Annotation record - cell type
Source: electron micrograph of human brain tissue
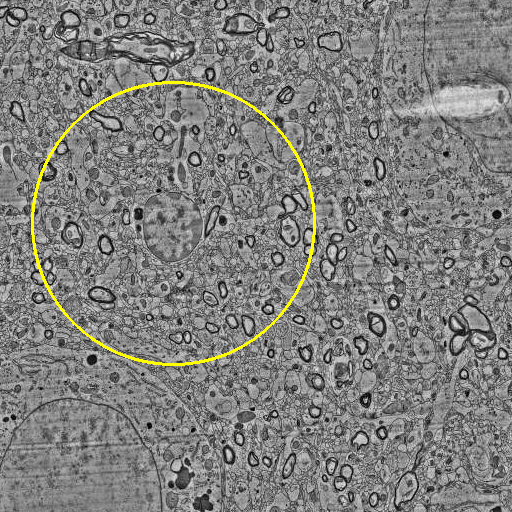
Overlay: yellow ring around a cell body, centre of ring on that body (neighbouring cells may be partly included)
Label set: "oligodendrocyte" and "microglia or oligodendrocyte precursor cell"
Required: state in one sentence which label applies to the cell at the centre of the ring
This cell should be labelled as a microglial cell or oligodendrocyte precursor cell.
